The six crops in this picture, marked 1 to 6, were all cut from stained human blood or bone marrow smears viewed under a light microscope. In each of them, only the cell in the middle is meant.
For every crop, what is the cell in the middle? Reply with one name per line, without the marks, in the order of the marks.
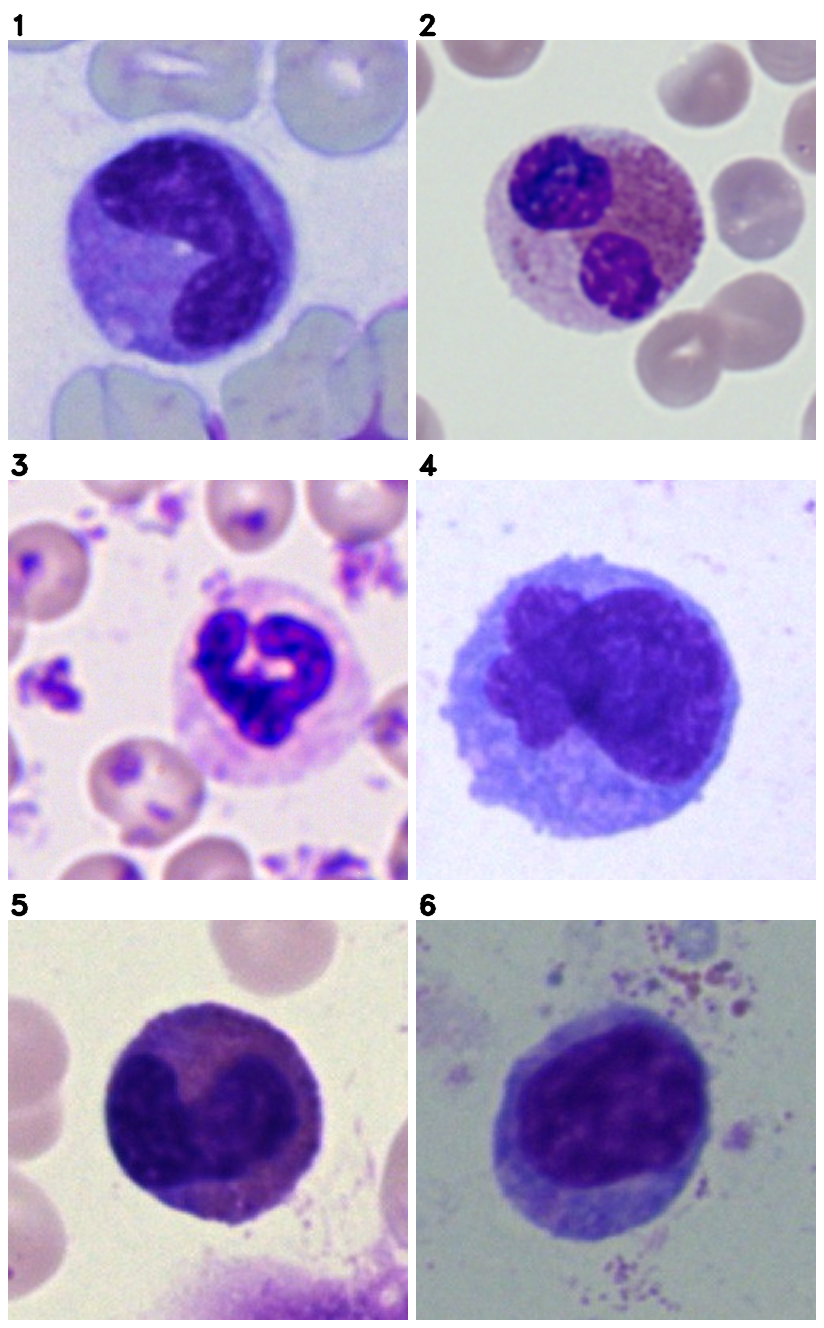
monocyte
eosinophil
neutrophil
monocyte
eosinophil
monocyte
